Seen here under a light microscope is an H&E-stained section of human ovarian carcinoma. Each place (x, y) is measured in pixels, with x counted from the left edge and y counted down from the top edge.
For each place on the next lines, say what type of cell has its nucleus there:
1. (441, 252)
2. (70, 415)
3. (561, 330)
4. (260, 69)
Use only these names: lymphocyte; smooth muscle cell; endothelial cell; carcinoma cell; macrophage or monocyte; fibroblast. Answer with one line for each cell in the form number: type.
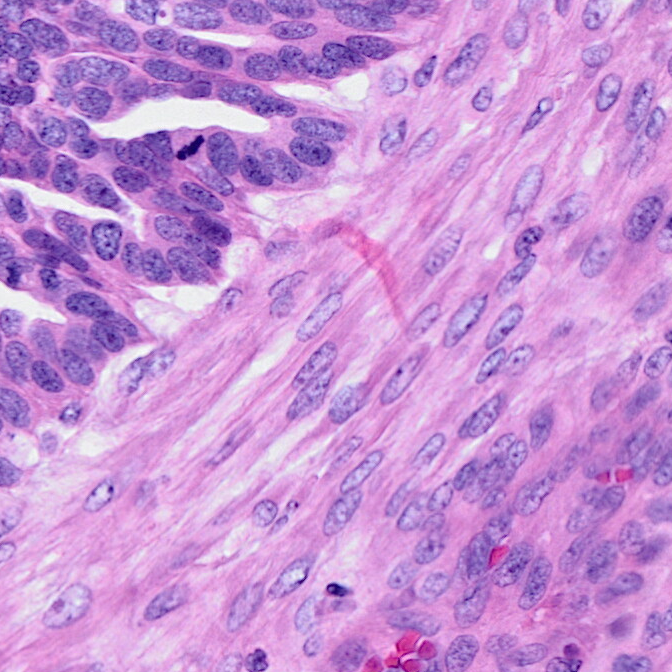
1: fibroblast
2: fibroblast
3: fibroblast
4: carcinoma cell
